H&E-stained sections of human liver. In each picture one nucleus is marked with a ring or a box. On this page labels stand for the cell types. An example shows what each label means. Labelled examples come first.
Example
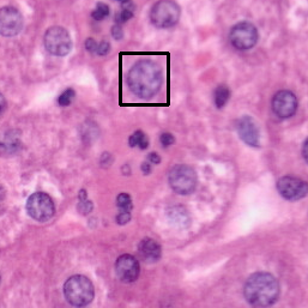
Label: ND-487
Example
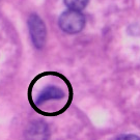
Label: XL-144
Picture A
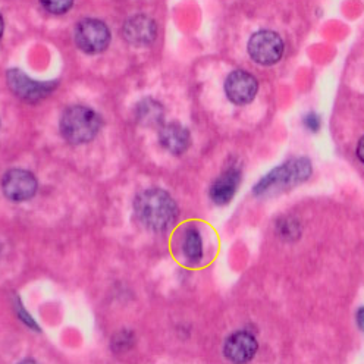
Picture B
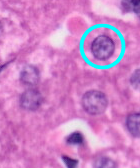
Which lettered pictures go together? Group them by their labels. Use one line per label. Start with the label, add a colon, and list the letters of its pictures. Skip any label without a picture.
ND-487: B
XL-144: A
